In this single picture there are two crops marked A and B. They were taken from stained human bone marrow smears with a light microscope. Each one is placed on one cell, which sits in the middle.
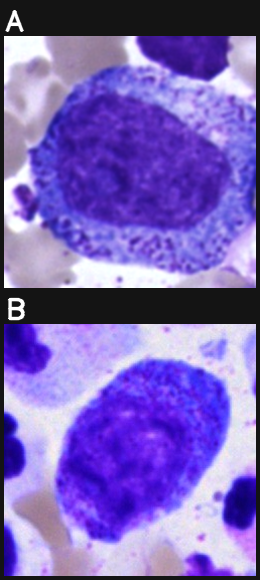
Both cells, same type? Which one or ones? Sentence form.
Yes, the cells at the centre of both crops are promyelocytes.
